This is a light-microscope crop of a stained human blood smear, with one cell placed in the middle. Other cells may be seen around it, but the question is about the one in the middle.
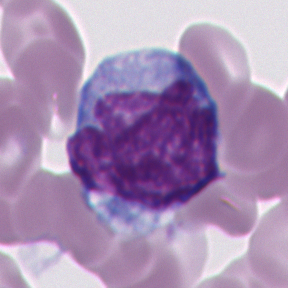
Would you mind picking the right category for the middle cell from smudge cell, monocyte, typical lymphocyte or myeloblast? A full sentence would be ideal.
Positioned in the middle of the crop is a monocyte.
